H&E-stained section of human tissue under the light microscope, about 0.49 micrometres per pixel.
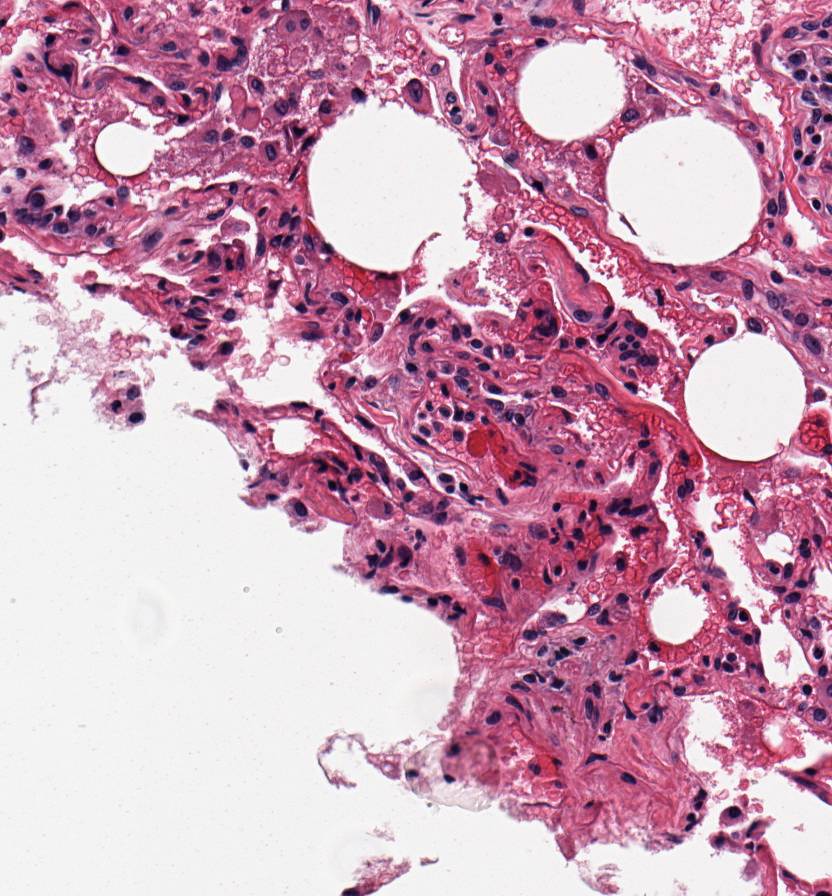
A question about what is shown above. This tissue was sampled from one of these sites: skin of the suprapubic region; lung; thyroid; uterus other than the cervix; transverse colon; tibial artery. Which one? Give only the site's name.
lung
